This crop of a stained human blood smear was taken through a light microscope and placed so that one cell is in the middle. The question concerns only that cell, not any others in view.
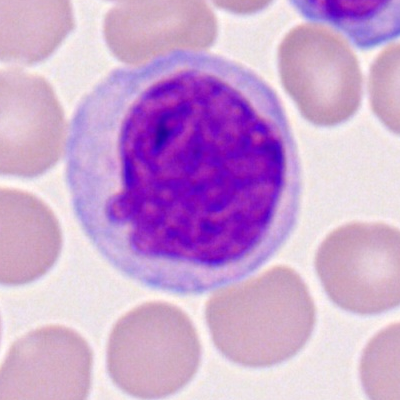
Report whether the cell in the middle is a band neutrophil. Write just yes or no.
no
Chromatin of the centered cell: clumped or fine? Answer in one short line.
What stands out is chromatin that is coarsely clumped.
